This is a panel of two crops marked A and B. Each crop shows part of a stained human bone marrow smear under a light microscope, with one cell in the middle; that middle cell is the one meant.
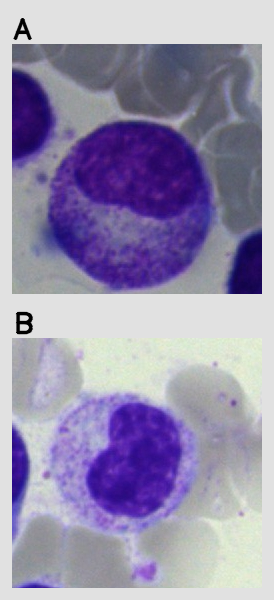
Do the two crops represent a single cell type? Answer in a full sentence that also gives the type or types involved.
No, the middle of crop A holds a myelocyte, and the middle of crop B holds a metamyelocyte.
